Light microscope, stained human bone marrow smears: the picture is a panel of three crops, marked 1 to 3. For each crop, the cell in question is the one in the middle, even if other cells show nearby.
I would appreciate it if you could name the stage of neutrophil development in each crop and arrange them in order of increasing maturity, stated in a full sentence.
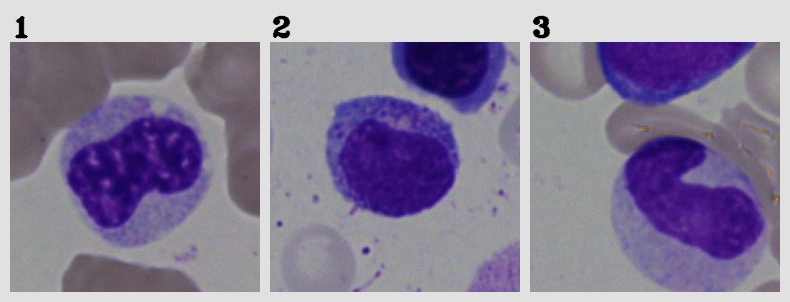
The crops, when placed from least to most mature, read crop 2 (a myelocyte), crop 1 (a metamyelocyte) and crop 3 (a band neutrophil).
